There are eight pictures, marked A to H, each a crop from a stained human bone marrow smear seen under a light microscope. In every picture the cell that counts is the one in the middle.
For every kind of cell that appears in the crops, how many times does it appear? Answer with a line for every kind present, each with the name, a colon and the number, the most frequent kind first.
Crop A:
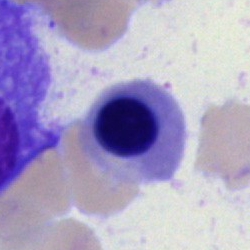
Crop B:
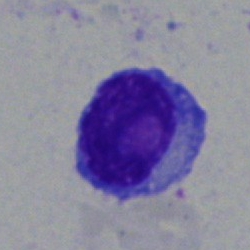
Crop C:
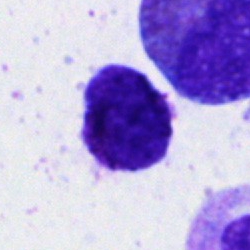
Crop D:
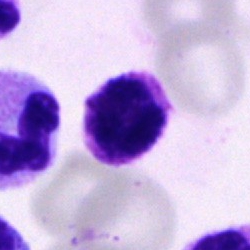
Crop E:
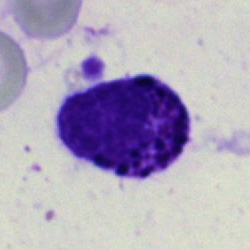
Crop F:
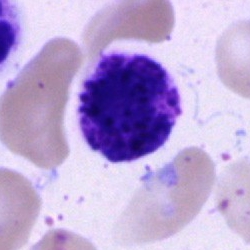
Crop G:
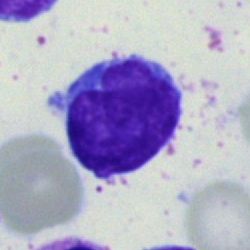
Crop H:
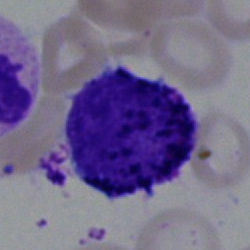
basophil: 5
lymphocyte: 2
erythroblast: 1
